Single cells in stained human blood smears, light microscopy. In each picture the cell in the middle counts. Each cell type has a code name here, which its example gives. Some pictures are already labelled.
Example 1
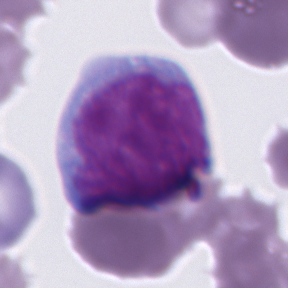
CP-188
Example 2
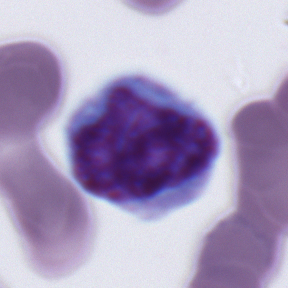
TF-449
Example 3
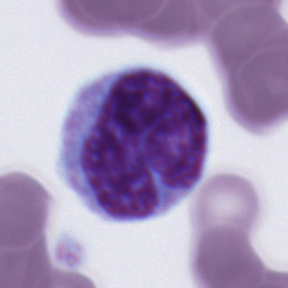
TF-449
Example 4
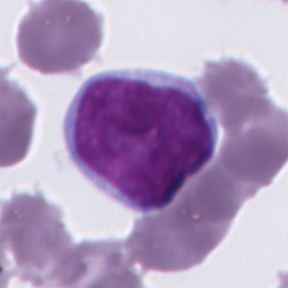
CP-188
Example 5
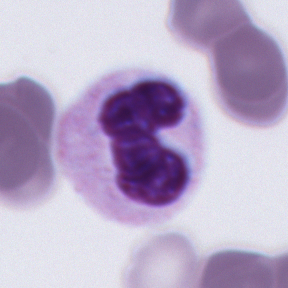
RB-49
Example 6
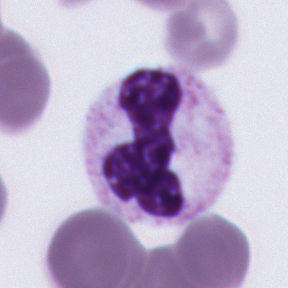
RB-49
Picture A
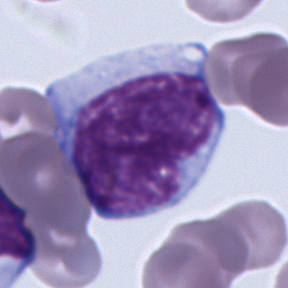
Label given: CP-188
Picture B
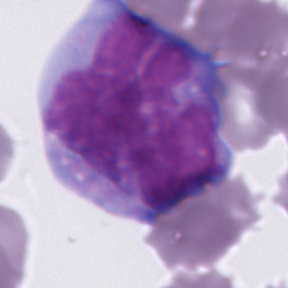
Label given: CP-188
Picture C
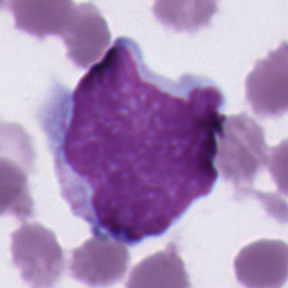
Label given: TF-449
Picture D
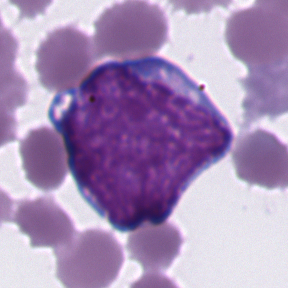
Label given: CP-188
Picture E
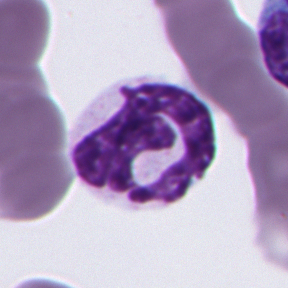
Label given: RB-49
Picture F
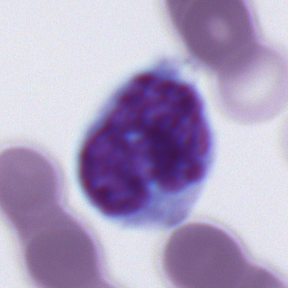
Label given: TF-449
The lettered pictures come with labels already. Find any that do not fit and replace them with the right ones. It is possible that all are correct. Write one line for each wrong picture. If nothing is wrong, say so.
C: CP-188, not TF-449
